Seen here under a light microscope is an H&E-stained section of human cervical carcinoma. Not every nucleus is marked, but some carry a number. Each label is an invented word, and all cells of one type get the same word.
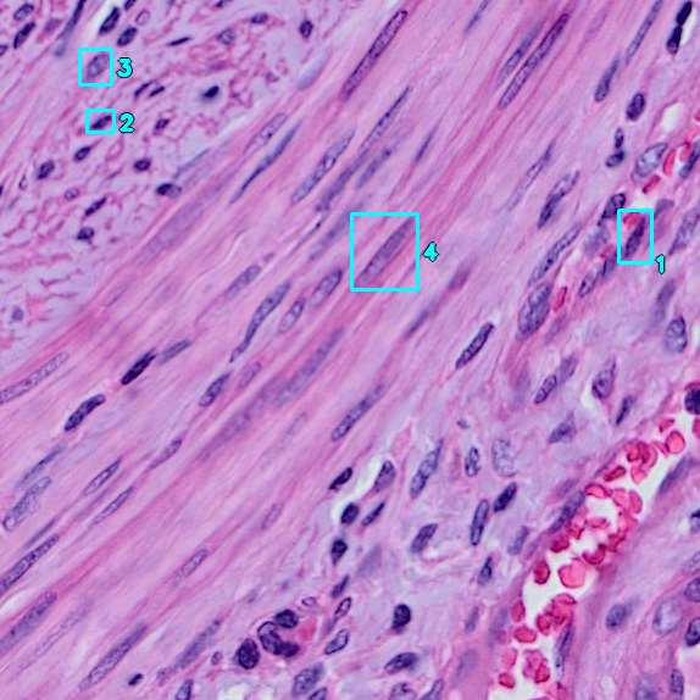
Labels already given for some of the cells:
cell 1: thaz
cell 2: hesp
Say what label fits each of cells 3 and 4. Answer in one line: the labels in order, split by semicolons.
hesp; hesp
